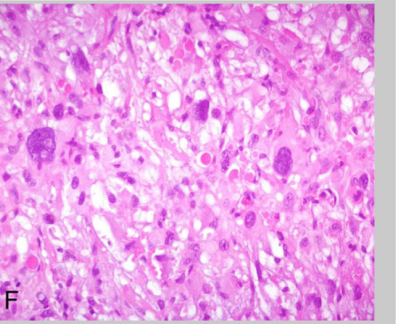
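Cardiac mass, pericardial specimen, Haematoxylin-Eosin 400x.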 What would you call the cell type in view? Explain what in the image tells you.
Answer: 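Some cells are much larger than their neighbours with large, dark, lobulated nuclear masses. Cells show varied nuclear size and shape. Cytoplasm is pink with clear vacuolated spaces between cells. That points to this answer: multinucleated cells.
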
